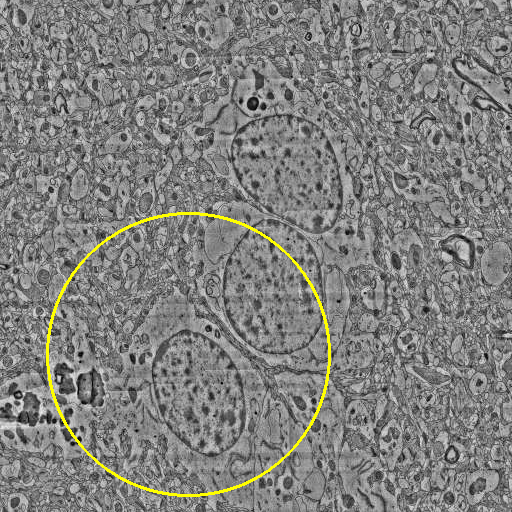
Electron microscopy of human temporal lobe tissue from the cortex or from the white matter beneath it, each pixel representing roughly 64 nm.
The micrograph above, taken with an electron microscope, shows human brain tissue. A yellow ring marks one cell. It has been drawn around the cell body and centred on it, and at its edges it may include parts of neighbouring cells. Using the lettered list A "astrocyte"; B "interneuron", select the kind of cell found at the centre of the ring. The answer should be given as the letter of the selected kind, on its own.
A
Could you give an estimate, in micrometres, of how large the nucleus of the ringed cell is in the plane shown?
The nucleus is approximately 8 micrometers long by 6 micrometers wide in this plane.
